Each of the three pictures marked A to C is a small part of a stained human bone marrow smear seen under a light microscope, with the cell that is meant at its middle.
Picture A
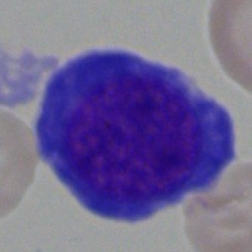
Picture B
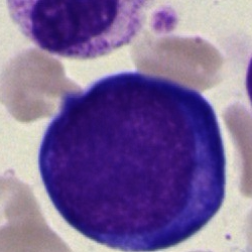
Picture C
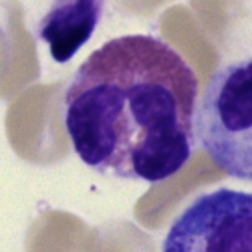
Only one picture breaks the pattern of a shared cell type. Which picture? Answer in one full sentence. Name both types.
Picture C is the odd one out: it shows an eosinophil, while the others show proerythroblasts.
